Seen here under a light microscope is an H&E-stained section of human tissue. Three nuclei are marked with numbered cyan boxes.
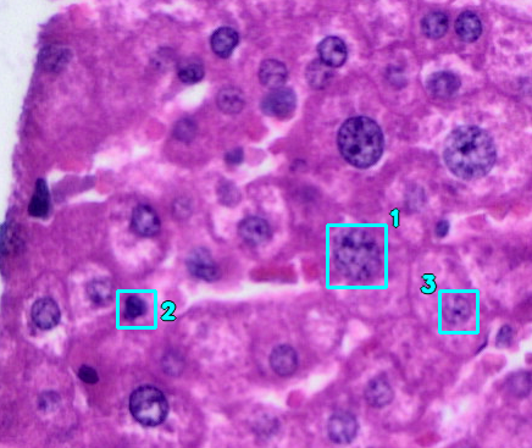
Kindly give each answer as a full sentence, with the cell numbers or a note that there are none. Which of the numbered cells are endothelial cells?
Taken together, the numbered cells include no endothelial cells.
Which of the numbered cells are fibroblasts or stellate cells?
The one cell that is a fibroblast or stellate cell is cell 2, and no other.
